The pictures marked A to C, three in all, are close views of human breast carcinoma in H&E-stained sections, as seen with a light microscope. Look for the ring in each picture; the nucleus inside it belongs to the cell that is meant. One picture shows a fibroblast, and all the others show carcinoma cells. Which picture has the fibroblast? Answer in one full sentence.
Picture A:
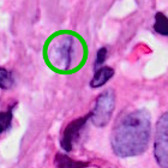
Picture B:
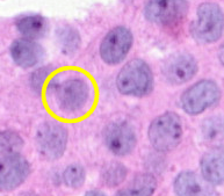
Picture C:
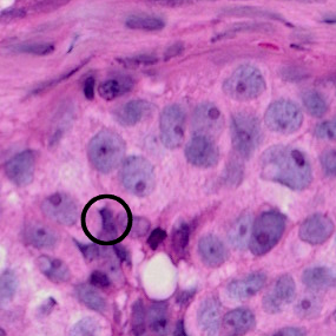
The picture with the fibroblast is A.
